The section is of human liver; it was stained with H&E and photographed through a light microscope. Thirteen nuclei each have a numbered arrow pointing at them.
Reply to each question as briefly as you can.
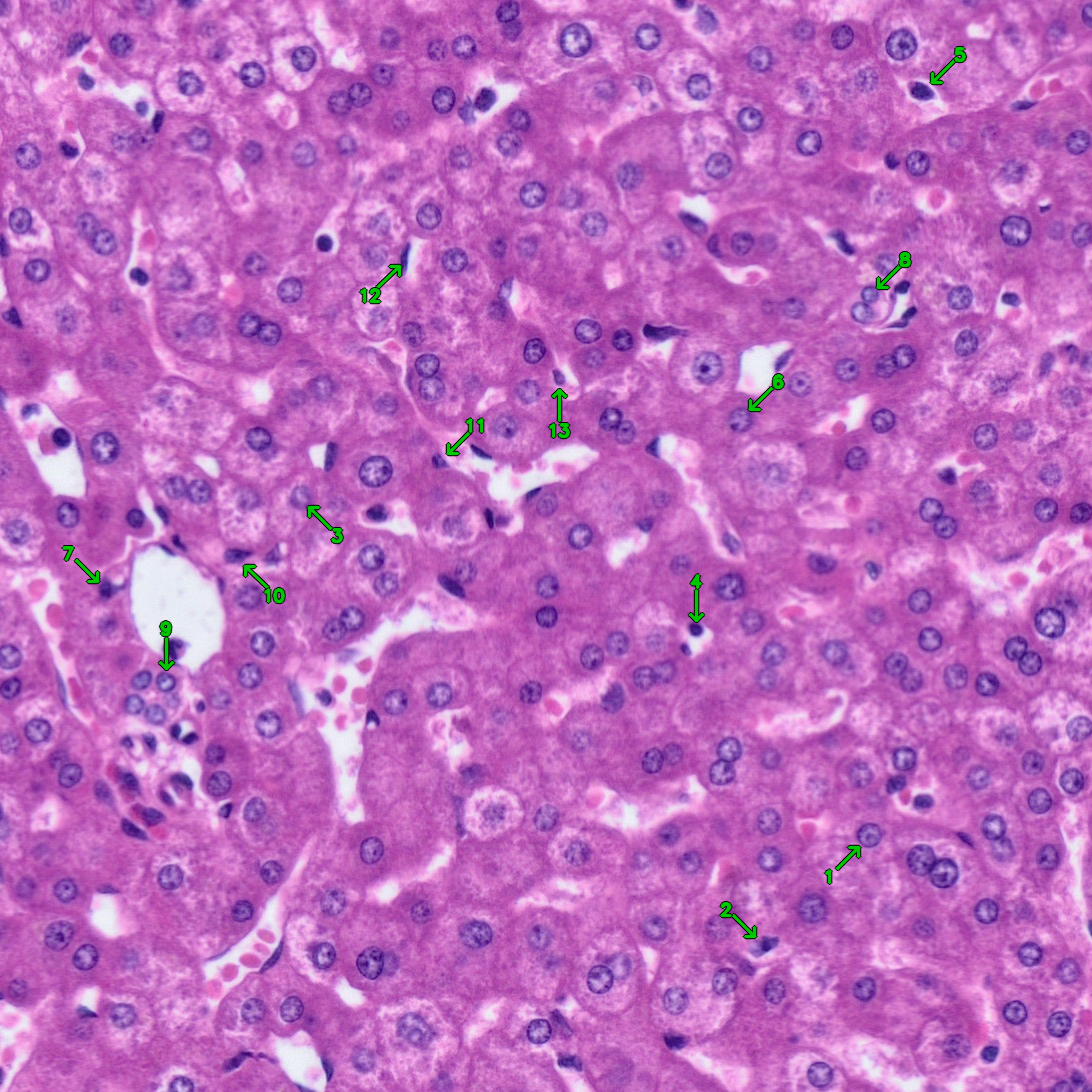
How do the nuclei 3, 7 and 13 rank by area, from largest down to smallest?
3, 7, 13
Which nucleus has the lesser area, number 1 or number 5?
5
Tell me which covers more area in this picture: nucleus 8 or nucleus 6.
6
